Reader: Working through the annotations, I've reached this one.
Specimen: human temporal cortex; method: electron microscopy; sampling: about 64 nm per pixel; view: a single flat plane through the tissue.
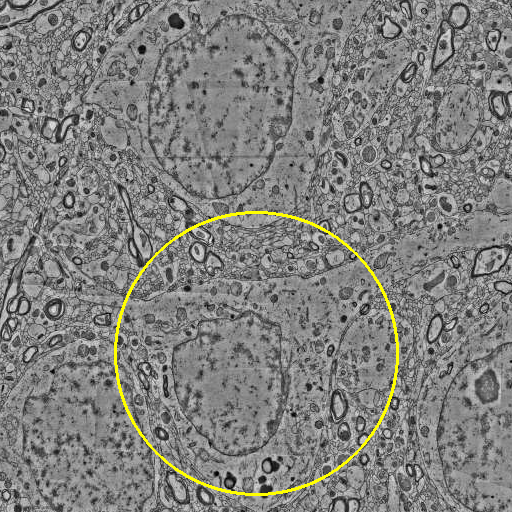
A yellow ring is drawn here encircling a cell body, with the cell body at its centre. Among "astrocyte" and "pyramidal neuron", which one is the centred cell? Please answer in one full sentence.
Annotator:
The cell body at the centre of the yellow ring in this image belongs to a pyramidal neuron.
